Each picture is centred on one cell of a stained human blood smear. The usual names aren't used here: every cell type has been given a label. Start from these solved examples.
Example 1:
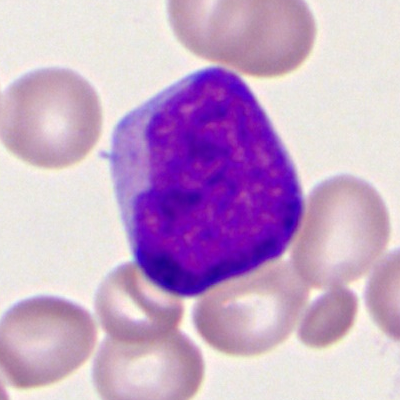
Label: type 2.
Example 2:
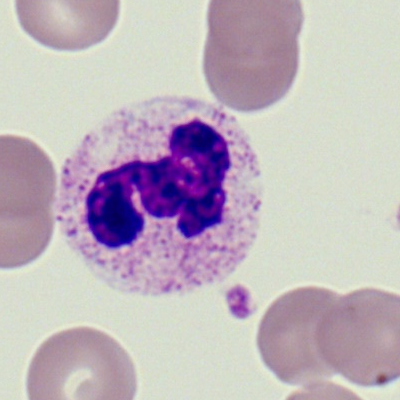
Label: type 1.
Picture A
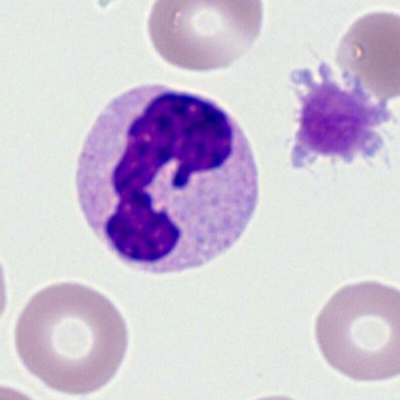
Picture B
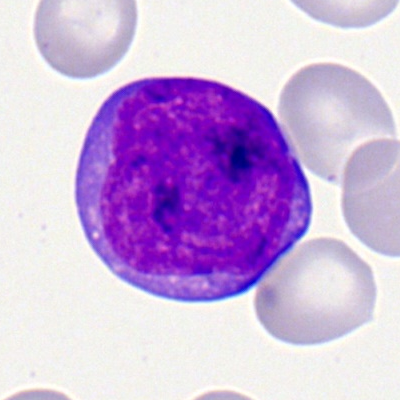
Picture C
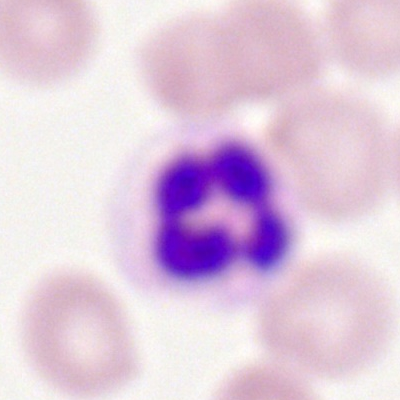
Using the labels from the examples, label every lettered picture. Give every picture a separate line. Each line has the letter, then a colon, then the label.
A: type 1.
B: type 2.
C: type 1.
